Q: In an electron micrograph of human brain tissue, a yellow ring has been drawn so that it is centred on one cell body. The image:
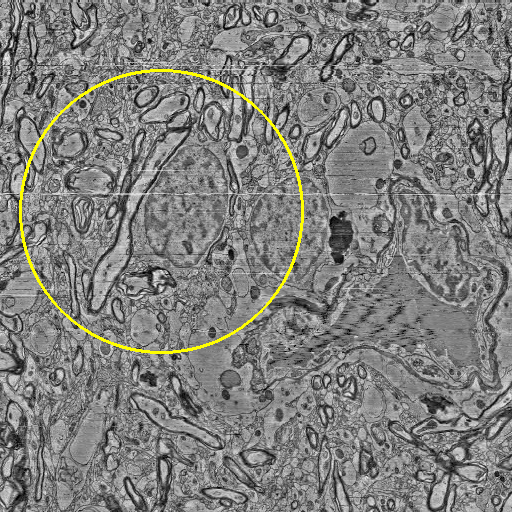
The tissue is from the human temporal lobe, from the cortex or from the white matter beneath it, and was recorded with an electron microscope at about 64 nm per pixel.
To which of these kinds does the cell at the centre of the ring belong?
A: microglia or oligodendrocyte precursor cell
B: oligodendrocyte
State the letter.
B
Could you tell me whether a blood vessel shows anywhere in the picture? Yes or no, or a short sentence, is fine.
Yes, a blood vessel is present in this picture.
